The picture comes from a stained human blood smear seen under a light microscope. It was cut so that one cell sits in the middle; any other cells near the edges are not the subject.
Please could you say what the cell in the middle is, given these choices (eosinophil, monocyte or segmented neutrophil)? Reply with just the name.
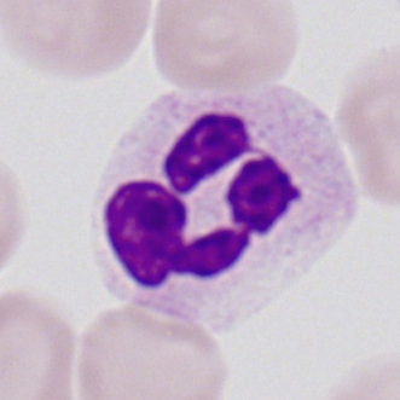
segmented neutrophil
